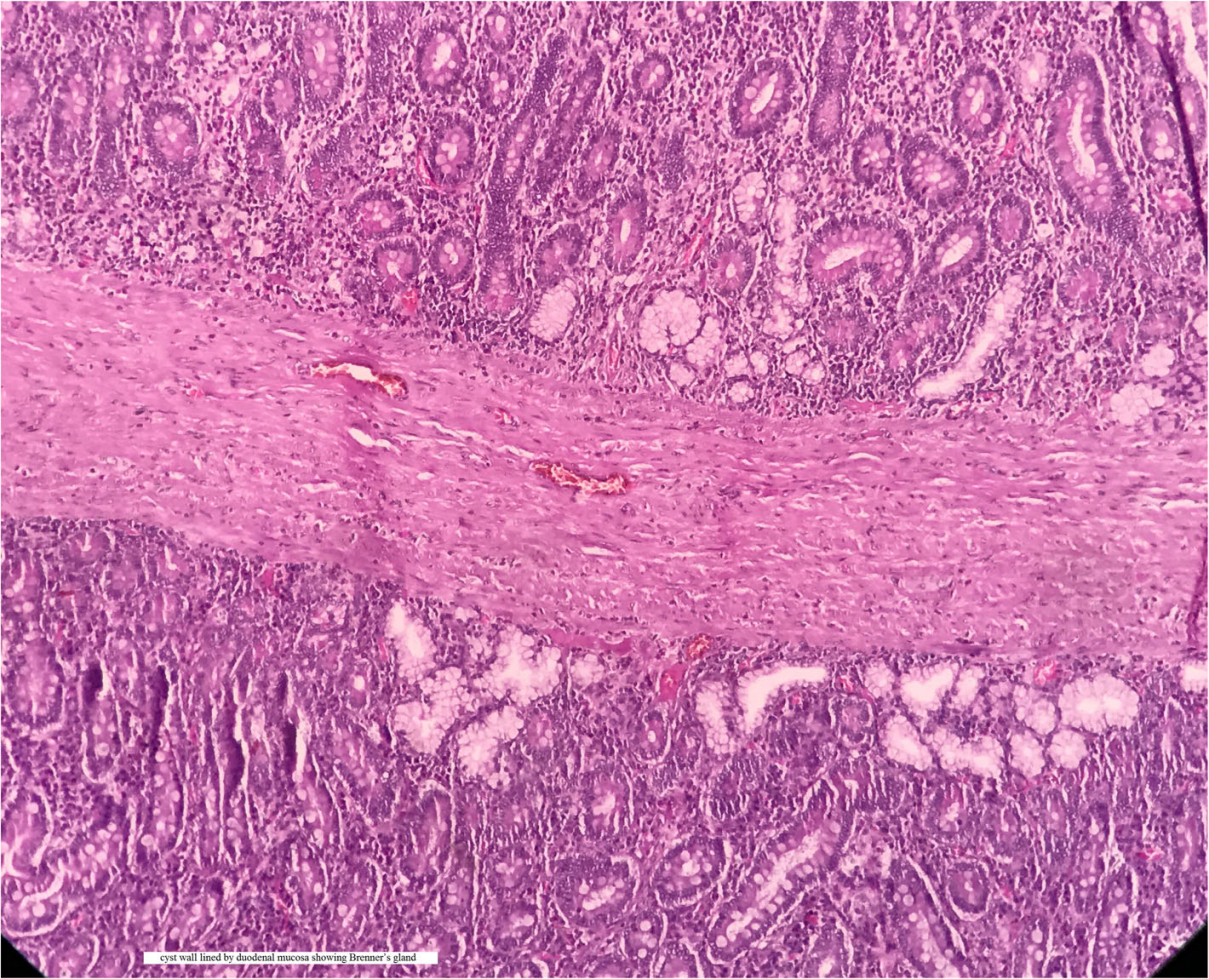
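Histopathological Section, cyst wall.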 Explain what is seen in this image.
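The mucosae contain numerous crypts lined by tall columnar cells with elongated basal nuclei, interspersed with pale, clear goblet cells. Deep to the crypts, next to the muscle band, lie clusters of pale, foamy mucous glands. The lamina propria between the crypts is densely packed with small dark inflammatory and lymphoid cells. The central pink muscle band consists of parallel spindle cells and contains small vessels distended with red blood cells.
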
